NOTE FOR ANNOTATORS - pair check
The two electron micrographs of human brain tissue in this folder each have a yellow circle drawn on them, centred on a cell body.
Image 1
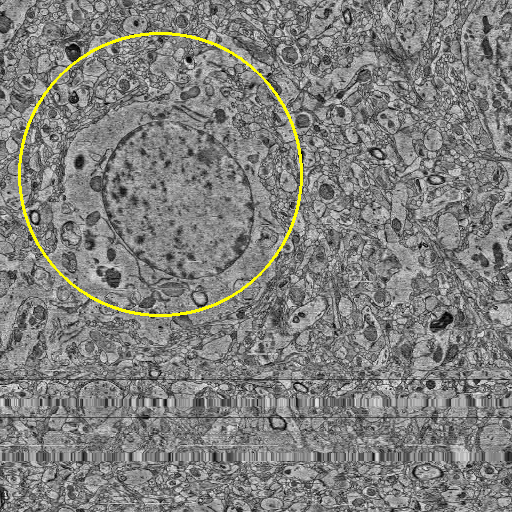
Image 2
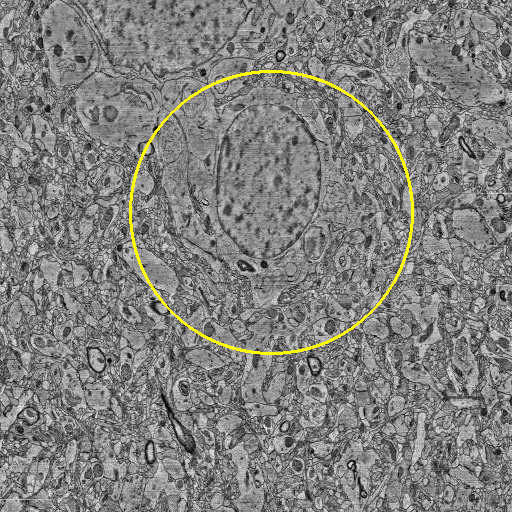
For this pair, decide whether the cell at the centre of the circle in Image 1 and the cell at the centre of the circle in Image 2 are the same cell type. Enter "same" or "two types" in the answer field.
same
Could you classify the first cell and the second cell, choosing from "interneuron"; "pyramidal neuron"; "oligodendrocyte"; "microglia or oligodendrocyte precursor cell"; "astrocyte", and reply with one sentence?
Both rings mark an astrocyte, one in each picture.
